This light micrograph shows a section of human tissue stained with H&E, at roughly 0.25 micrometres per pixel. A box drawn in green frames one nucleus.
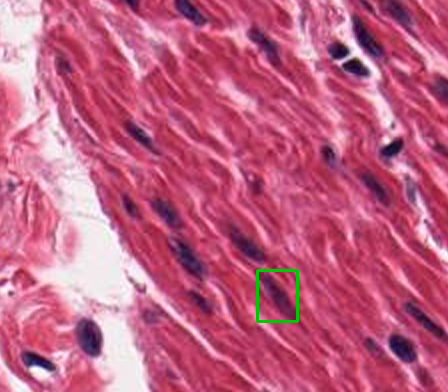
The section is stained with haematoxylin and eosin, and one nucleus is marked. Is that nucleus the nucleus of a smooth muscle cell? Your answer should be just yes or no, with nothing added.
yes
